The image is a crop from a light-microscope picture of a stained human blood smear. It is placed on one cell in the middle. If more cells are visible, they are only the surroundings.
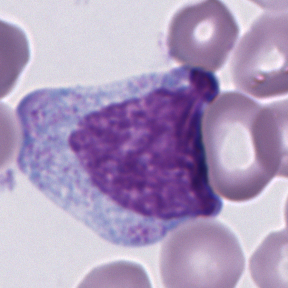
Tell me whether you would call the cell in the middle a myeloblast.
no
